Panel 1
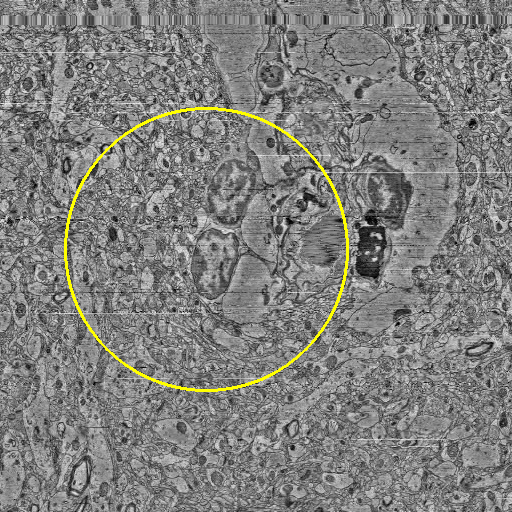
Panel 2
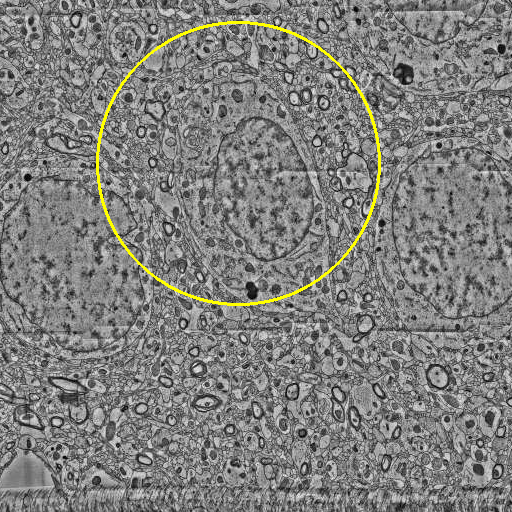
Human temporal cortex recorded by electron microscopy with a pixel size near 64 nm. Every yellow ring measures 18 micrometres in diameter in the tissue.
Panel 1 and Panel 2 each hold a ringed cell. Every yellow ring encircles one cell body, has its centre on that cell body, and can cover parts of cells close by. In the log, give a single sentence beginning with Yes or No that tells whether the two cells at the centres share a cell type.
No, in Panel 1 and Panel 2 the centred cells are of two cell types.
